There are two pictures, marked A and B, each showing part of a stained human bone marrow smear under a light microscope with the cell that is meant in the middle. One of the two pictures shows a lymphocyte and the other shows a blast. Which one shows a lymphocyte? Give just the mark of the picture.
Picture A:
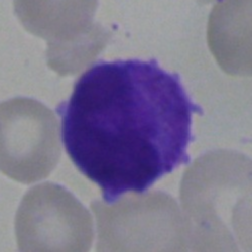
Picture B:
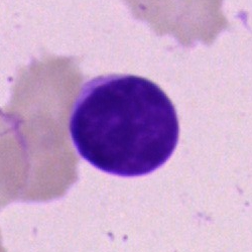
B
